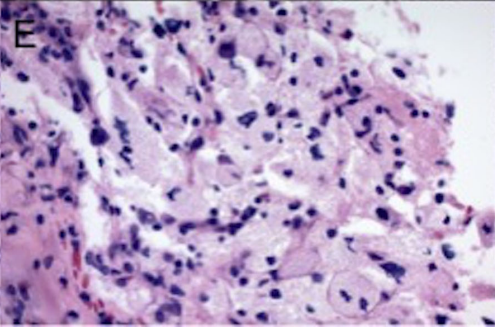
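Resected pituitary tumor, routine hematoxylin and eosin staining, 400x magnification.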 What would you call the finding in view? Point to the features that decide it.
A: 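The cytoplasm is pink with a fine grainy texture. Cytoplasm is abundant relative to the nuclei.
Granular cytoplasm.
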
